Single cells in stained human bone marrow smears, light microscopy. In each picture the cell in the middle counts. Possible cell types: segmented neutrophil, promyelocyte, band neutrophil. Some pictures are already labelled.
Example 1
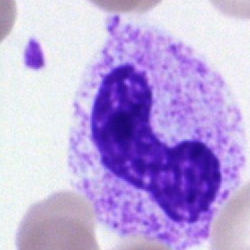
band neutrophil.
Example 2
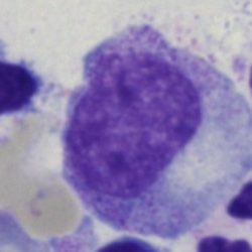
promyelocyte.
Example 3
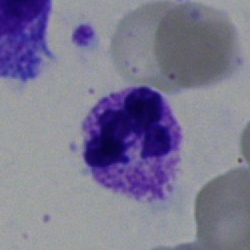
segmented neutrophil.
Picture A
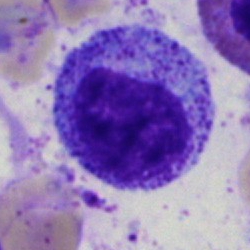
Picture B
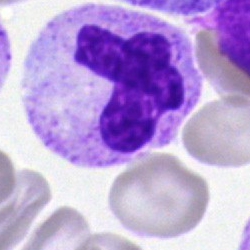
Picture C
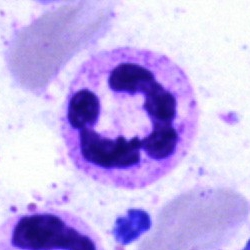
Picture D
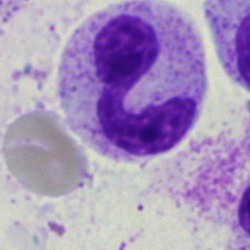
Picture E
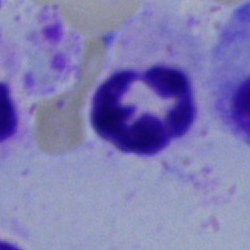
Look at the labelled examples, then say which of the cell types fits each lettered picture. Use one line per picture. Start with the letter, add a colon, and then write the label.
A: promyelocyte.
B: segmented neutrophil.
C: segmented neutrophil.
D: segmented neutrophil.
E: segmented neutrophil.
